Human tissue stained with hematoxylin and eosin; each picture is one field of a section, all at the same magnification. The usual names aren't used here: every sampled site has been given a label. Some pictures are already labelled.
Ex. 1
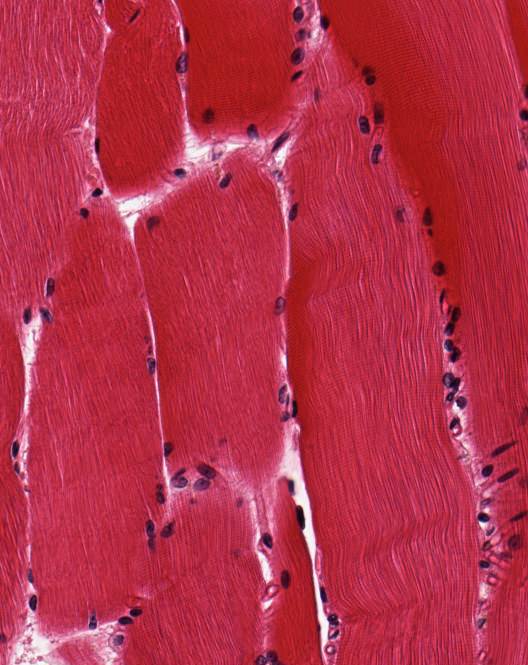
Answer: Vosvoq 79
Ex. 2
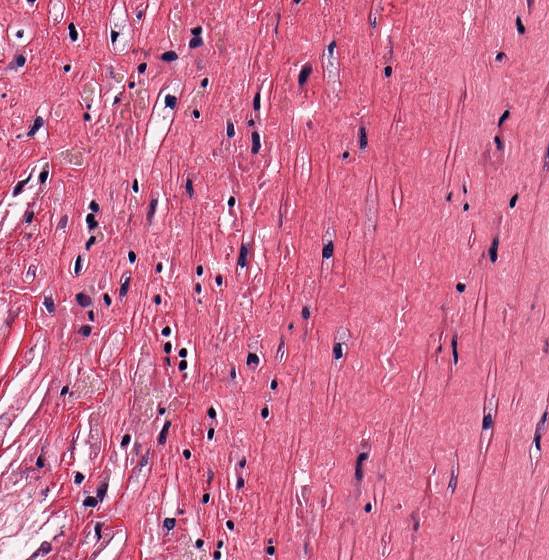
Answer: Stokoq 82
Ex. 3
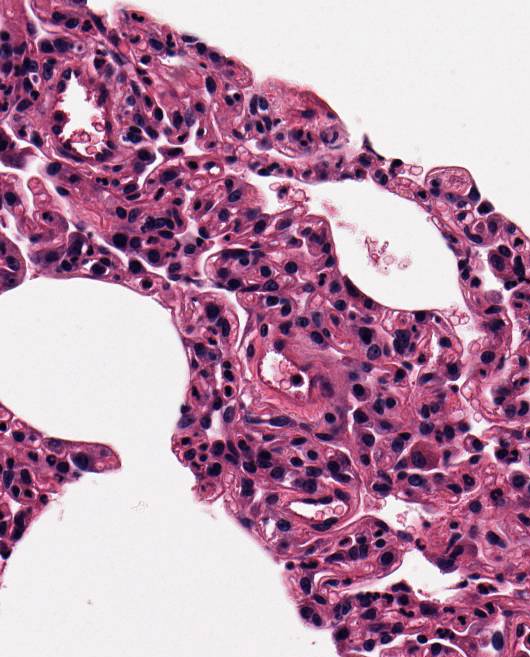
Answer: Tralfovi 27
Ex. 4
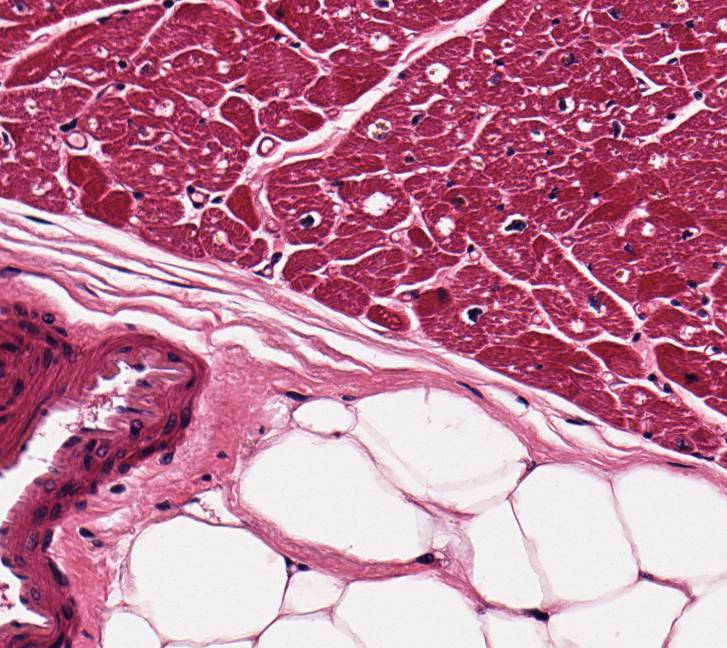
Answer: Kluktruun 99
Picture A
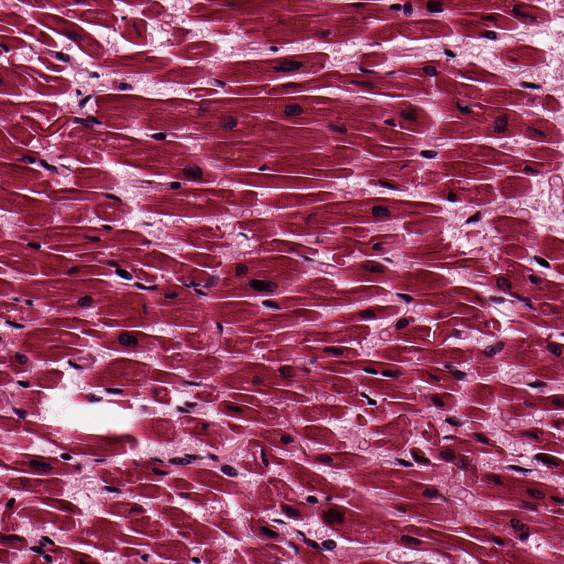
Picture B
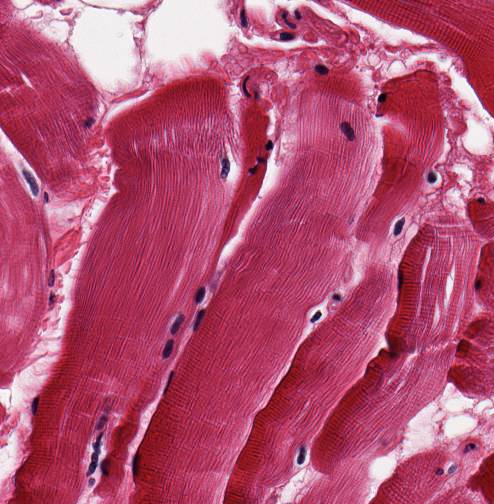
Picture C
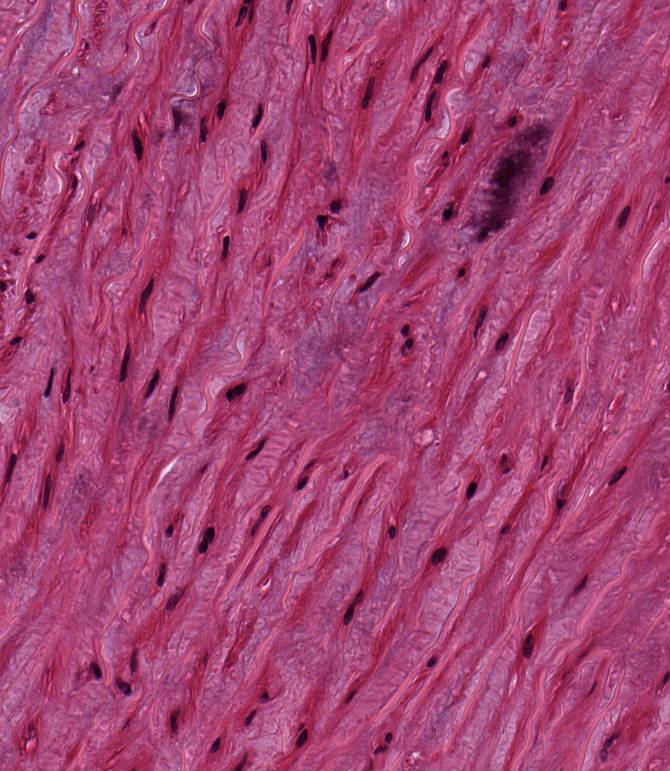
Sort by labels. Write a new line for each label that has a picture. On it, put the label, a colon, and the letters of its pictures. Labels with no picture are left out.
Vosvoq 79: B
Stokoq 82: C
Kluktruun 99: A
